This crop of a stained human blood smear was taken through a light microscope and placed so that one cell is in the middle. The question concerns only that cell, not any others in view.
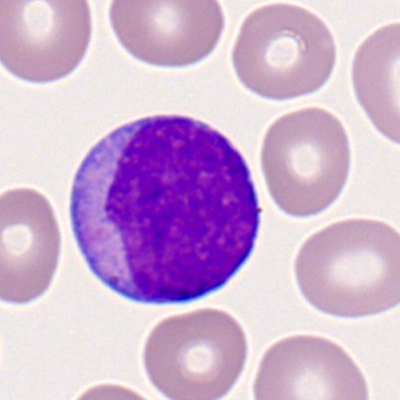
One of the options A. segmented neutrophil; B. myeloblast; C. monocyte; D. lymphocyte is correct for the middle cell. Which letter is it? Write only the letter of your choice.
B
